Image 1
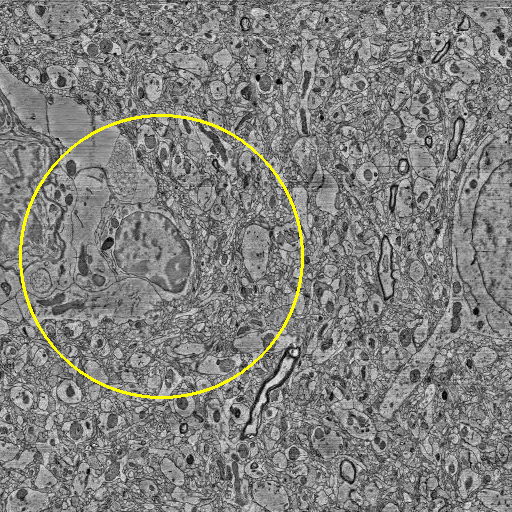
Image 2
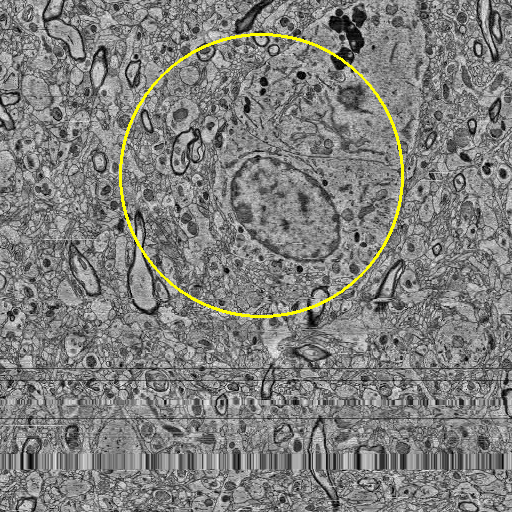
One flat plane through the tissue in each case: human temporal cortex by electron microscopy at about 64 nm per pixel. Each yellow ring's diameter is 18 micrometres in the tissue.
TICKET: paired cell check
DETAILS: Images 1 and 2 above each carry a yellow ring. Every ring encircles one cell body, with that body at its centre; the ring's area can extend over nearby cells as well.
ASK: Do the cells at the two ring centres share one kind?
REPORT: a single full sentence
Yes, the ring-centre cells of Images 1 and 2 belong to a single kind.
